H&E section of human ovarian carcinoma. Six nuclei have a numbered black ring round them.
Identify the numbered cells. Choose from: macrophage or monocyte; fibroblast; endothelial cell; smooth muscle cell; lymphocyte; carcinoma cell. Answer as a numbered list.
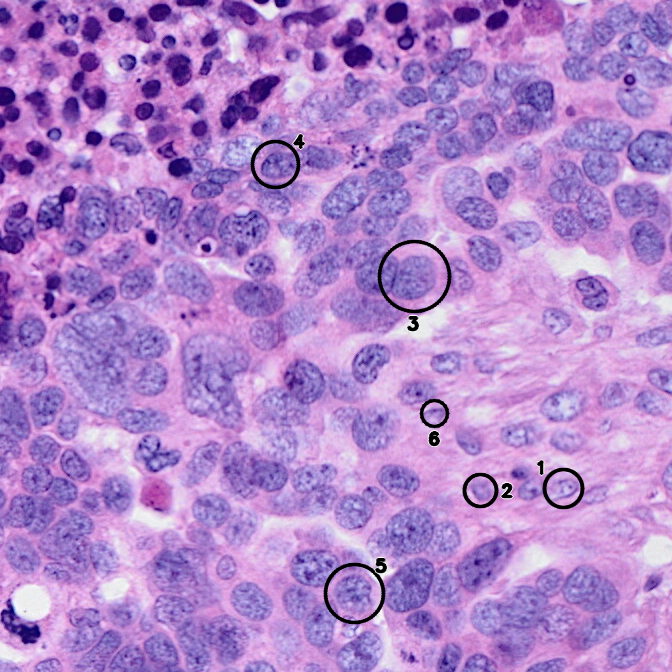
1. fibroblast
2. fibroblast
3. carcinoma cell
4. carcinoma cell
5. carcinoma cell
6. fibroblast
